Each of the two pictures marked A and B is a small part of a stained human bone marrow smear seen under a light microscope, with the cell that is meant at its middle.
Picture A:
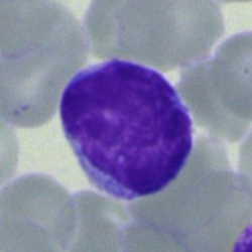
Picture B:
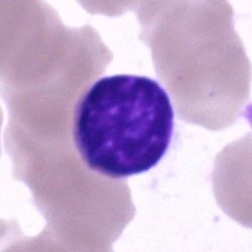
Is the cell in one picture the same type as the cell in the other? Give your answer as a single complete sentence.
Yes, they are the same type: both are lymphocytes.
